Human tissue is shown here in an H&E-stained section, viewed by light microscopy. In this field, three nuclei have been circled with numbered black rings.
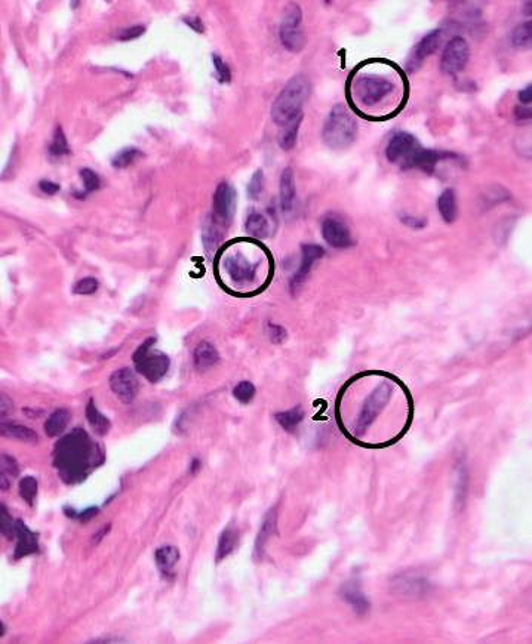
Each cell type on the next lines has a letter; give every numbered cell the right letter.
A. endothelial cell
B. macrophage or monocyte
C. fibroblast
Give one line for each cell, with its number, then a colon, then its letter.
1: B
2: C
3: B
